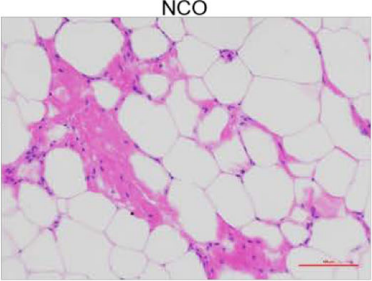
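This is white adipose tissue made of large polygonal adipocytes whose contents appear empty and unstained, each outlined by a thin pink rim of cytoplasm. A broad band of pink connective tissue with scattered elongated purple nuclei runs diagonally between groups of fat cells.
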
